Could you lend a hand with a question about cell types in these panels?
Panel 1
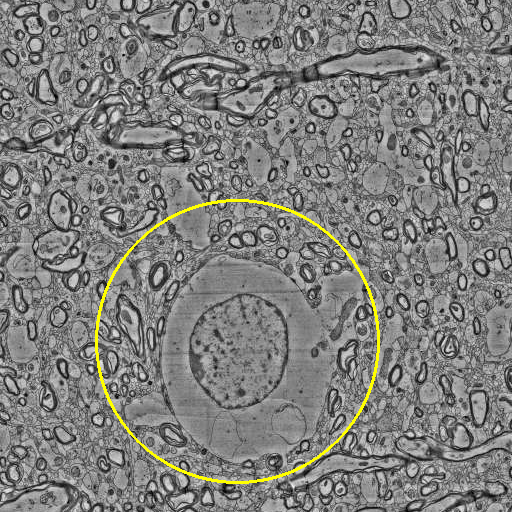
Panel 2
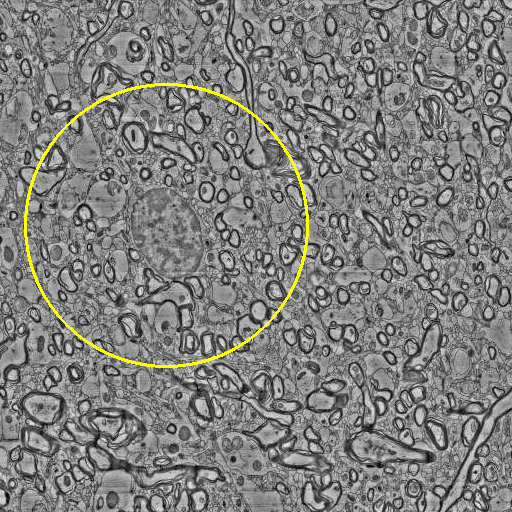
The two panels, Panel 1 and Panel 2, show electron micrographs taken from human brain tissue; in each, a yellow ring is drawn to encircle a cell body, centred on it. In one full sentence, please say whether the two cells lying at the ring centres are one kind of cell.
No, the cells at the ring centres in the two panels are two kinds of cell.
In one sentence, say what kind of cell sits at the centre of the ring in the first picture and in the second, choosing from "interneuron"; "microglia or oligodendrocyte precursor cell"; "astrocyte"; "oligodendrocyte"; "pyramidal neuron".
The first picture's ringed cell is an astrocyte, while the second picture's is an oligodendrocyte.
